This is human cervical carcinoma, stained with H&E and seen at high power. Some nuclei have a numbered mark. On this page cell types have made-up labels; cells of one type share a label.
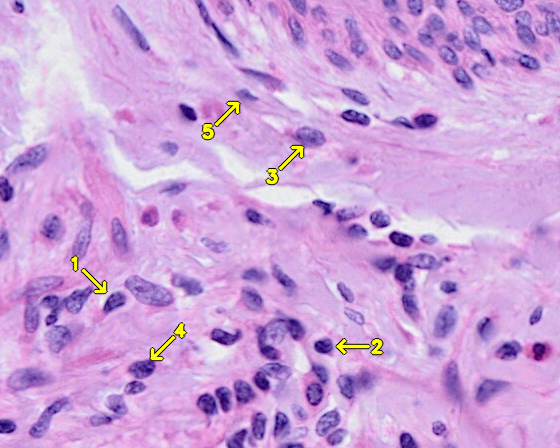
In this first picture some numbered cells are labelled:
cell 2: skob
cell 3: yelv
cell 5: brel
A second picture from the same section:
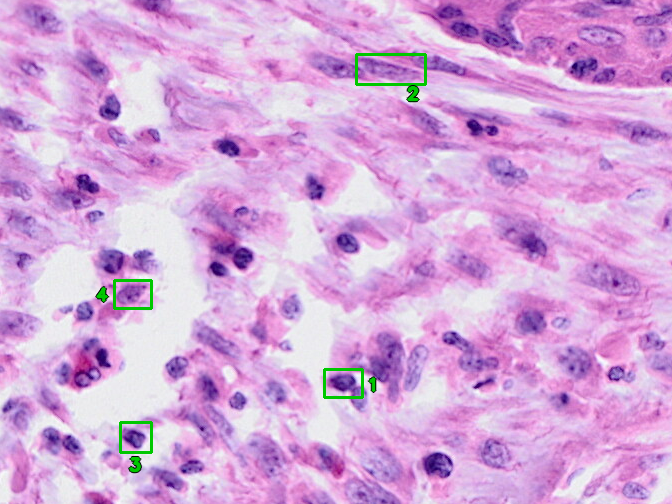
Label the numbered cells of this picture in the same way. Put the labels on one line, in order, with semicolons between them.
skob; brel; skob; yelv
